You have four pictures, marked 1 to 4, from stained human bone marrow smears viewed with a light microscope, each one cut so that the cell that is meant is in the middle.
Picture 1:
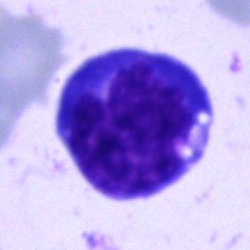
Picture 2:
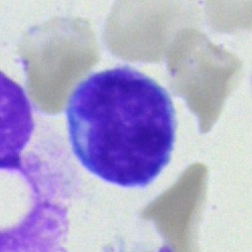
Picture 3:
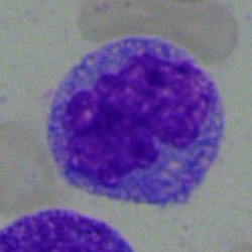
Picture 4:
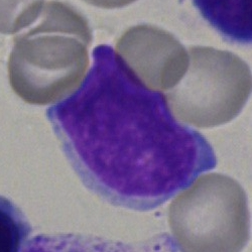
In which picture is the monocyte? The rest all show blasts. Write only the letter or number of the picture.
3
